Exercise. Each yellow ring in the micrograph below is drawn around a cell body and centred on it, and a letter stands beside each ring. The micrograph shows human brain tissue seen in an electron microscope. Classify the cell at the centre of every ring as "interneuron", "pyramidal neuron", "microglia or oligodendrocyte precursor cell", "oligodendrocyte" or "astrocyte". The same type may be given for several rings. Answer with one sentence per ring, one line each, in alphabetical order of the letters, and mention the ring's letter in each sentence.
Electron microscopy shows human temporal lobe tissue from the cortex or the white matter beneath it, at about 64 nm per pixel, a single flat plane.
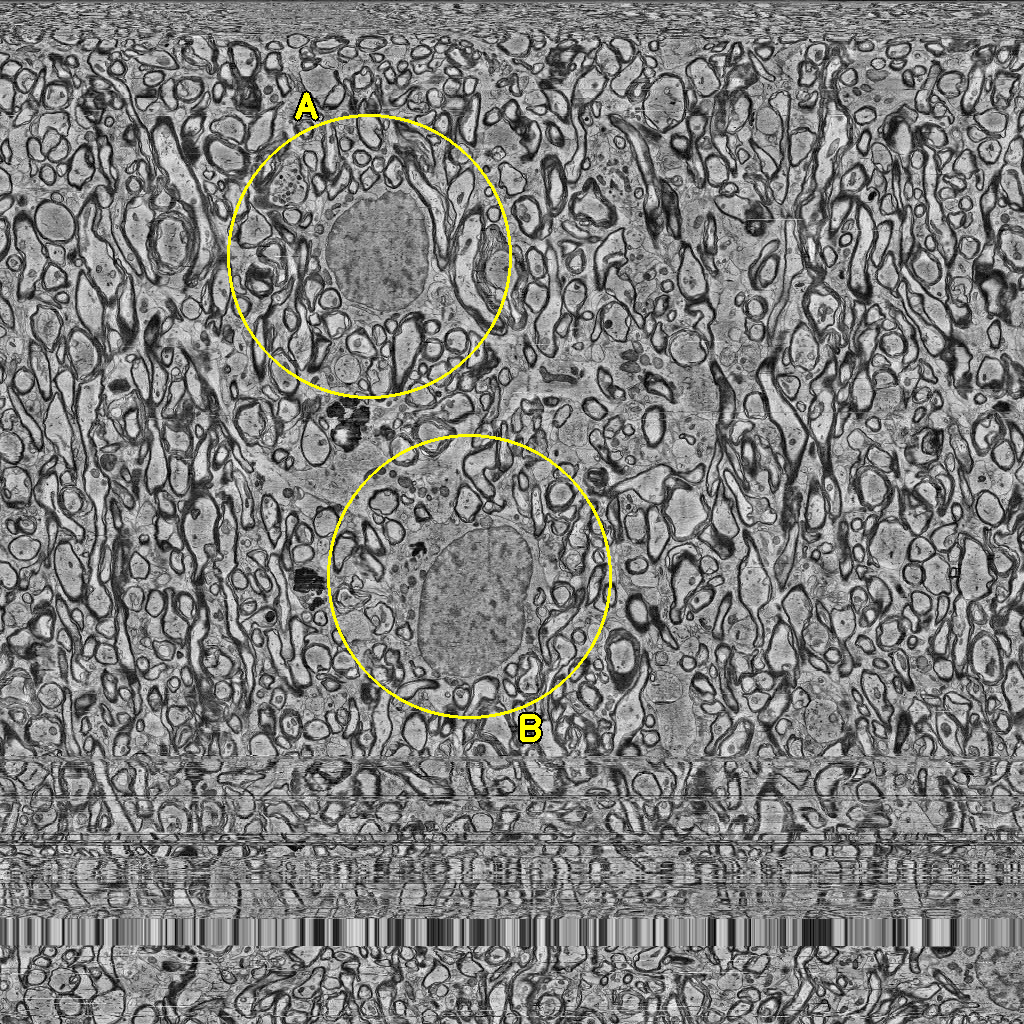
In ring A, the central cell is an oligodendrocyte.
In ring B, the central cell is an oligodendrocyte.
